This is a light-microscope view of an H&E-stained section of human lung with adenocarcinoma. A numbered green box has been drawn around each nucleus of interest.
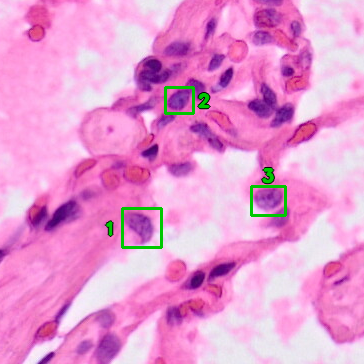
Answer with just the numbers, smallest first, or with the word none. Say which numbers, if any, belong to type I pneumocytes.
1, 3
